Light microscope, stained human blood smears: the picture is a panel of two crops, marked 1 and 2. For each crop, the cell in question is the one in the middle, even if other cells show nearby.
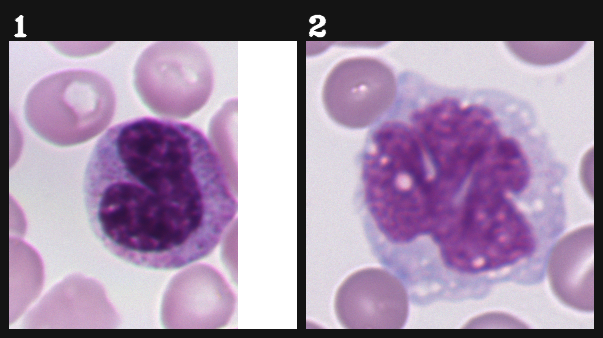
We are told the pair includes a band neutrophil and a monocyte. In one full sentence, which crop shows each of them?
In crop 1 there is a band neutrophil, and in crop 2 there is a monocyte.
